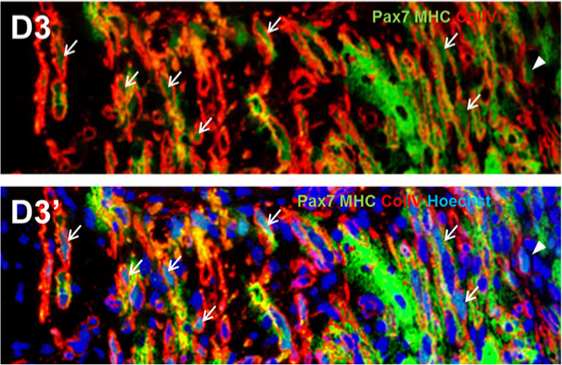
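These are the frayed, fibrillar ends of skeletal muscle, where thin red outlines of basal lamina form rings and tubes around elongated profiles. Many of these tubes contain green staining and blue nuclei, so the cells lie enclosed within the red sheaths. Toward the right, broader green muscle tissue is present, while to the left the profiles are narrower and separated by dark spaces. The nuclei inside the sheaths are oval and elongated along the long axis of the tubes. Some green cells are only partly surrounded by red outlines.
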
